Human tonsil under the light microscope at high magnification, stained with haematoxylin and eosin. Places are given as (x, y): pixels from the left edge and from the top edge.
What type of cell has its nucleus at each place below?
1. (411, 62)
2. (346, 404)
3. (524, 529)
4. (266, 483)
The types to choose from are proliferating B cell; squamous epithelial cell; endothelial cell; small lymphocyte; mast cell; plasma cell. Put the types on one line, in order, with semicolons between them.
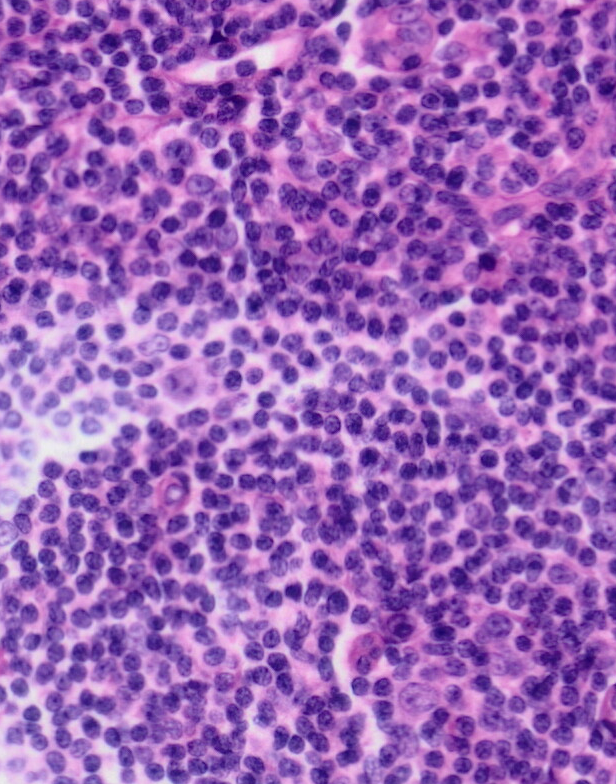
endothelial cell; small lymphocyte; small lymphocyte; small lymphocyte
